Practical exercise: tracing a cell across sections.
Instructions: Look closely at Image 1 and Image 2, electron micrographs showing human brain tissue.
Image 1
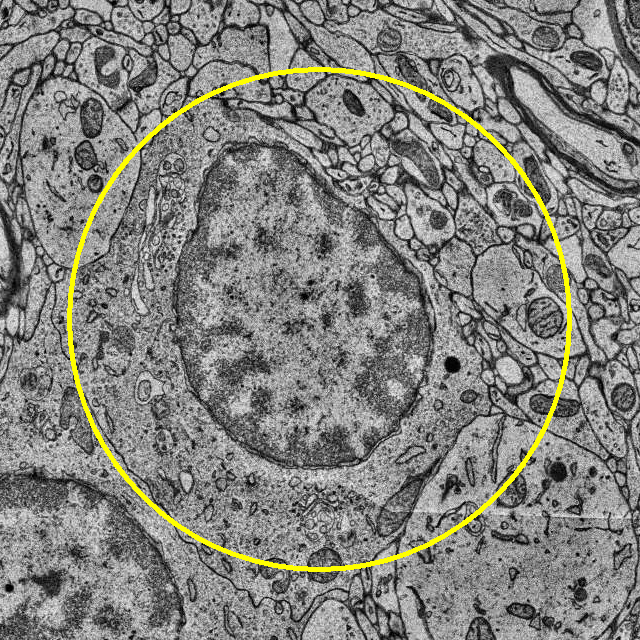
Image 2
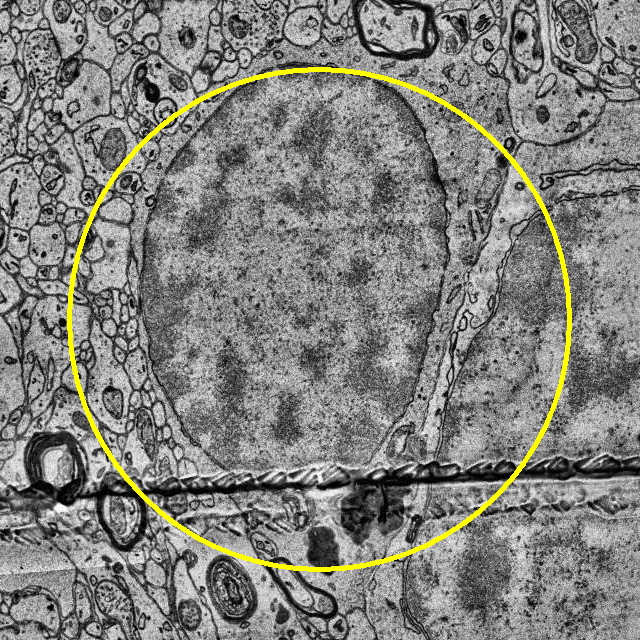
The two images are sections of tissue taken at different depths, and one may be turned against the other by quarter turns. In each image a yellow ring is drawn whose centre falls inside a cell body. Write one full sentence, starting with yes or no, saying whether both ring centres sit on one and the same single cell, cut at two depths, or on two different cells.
No, a different cell sits inside each of the two rings.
